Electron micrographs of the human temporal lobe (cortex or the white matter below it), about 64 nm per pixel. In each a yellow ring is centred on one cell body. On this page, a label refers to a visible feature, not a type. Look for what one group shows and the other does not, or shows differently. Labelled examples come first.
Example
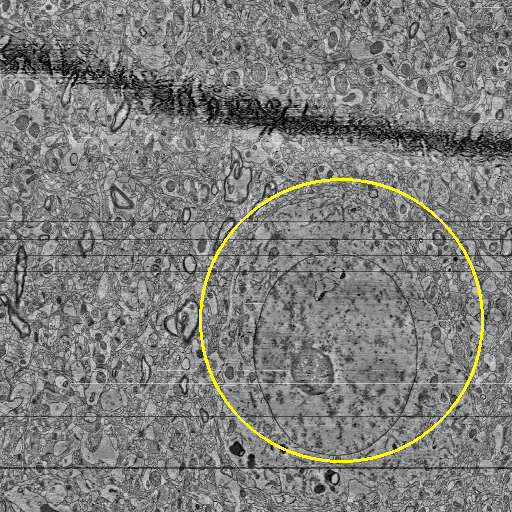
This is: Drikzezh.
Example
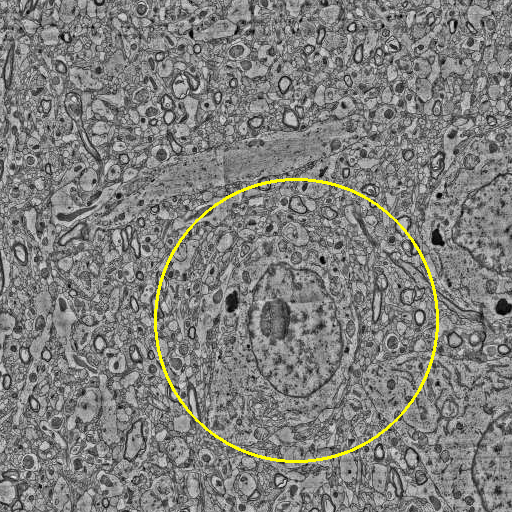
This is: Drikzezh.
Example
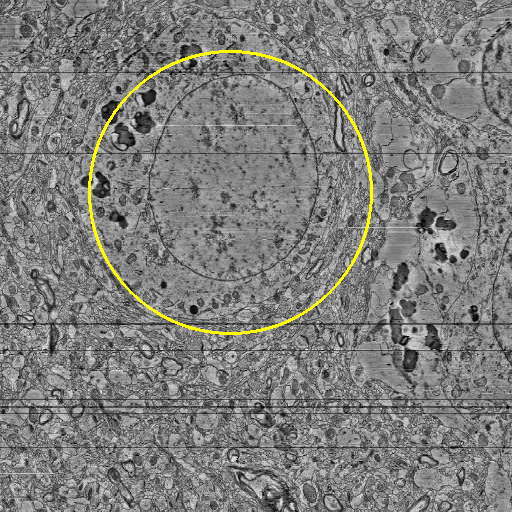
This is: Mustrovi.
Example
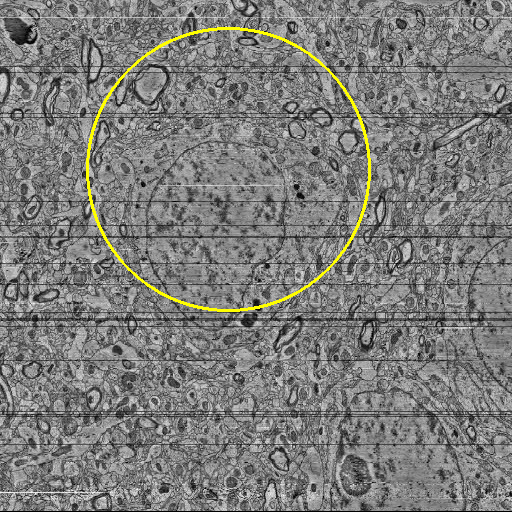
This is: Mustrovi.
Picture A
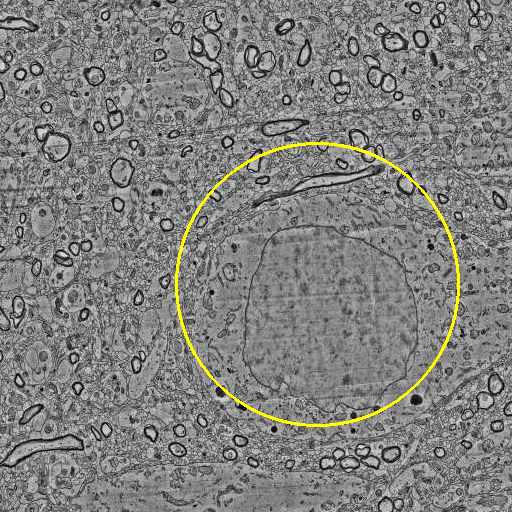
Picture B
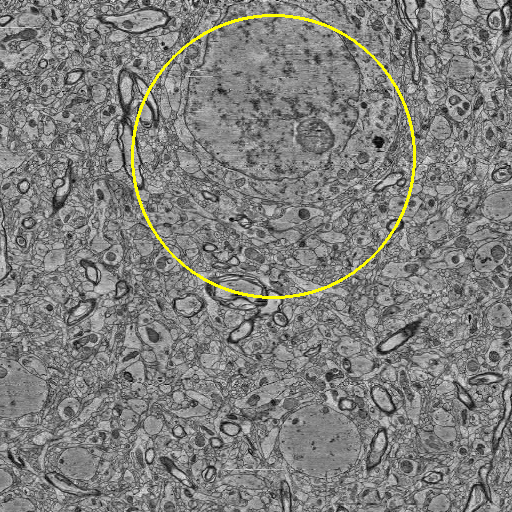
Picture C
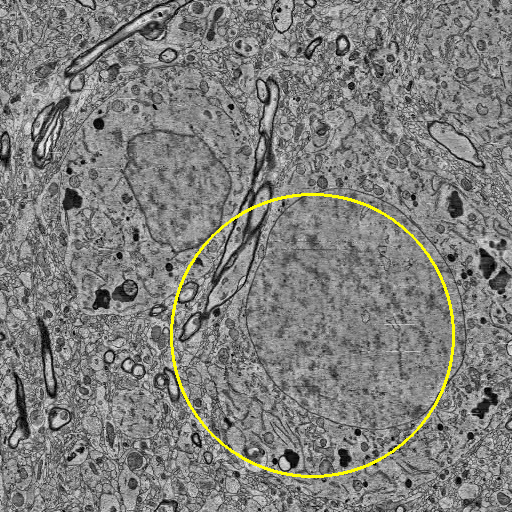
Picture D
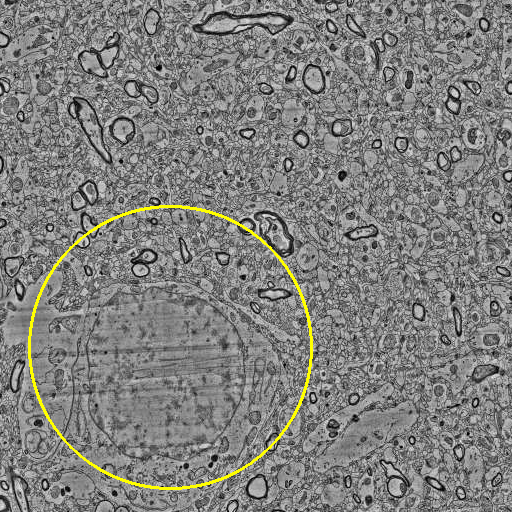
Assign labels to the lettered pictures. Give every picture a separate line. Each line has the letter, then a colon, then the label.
A: Mustrovi.
B: Drikzezh.
C: Mustrovi.
D: Mustrovi.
